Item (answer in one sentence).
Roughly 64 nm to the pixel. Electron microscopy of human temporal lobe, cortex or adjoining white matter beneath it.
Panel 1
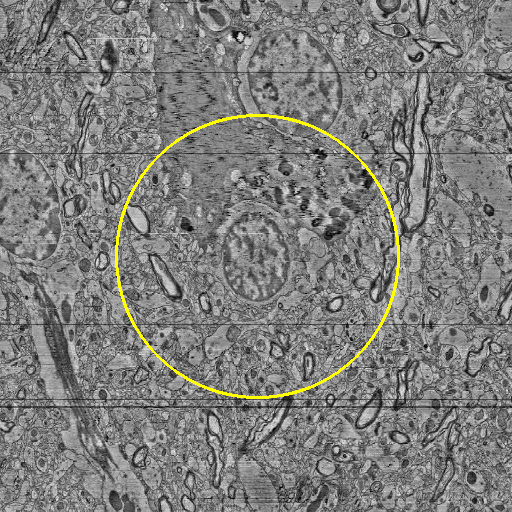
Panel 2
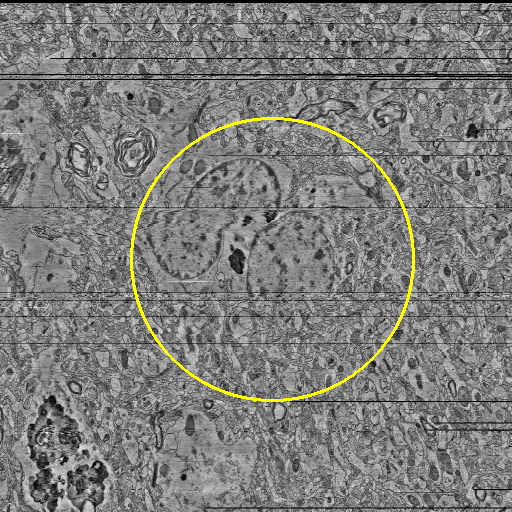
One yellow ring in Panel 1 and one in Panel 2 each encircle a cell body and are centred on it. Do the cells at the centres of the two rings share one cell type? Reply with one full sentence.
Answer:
No, Panel 1 and Panel 2 show cells of two types at the centres of their rings.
